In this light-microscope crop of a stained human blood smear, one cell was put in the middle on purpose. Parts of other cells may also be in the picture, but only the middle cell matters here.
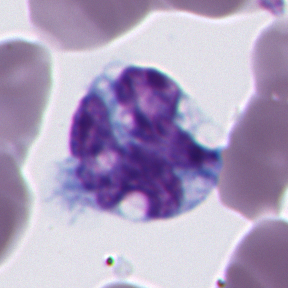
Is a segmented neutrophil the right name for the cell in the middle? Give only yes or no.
no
